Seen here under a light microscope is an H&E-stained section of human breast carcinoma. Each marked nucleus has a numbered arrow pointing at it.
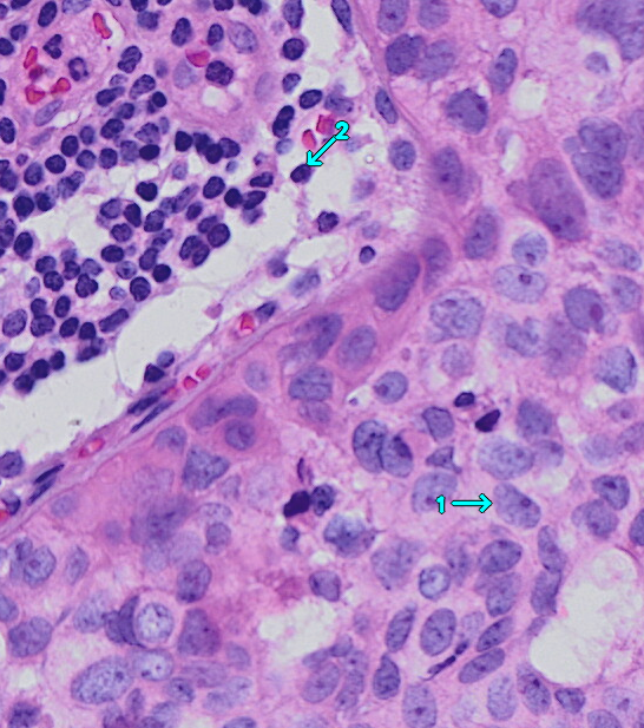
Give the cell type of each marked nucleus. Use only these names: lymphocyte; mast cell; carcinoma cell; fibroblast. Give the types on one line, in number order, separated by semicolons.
carcinoma cell; lymphocyte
